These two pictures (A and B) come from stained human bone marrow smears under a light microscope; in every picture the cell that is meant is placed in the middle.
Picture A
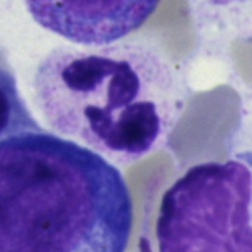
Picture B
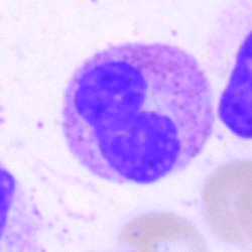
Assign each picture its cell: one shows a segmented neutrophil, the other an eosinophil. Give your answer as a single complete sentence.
Picture B shows an eosinophil, while picture A shows a segmented neutrophil.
